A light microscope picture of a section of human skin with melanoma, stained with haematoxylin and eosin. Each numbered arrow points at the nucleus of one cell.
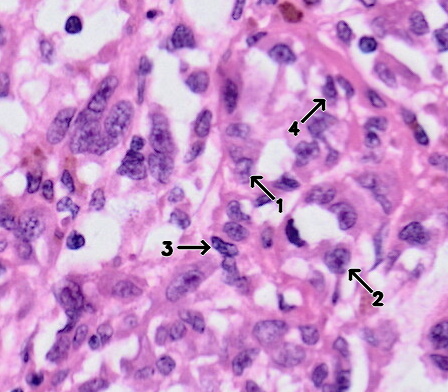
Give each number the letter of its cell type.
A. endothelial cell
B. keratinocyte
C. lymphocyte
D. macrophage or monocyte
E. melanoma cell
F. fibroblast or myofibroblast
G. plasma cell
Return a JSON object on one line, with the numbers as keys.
{"1": "E", "2": "E", "3": "C", "4": "E"}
